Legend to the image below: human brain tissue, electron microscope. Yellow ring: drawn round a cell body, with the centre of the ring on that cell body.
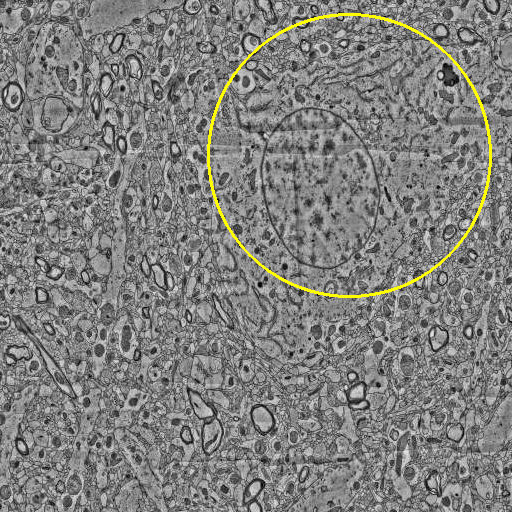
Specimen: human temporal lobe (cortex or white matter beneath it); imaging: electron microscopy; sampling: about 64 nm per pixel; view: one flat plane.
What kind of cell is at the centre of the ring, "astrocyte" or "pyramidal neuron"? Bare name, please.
pyramidal neuron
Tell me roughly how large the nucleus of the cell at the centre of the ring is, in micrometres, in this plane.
The nucleus measures about 10 by 8 micrometres in this plane.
